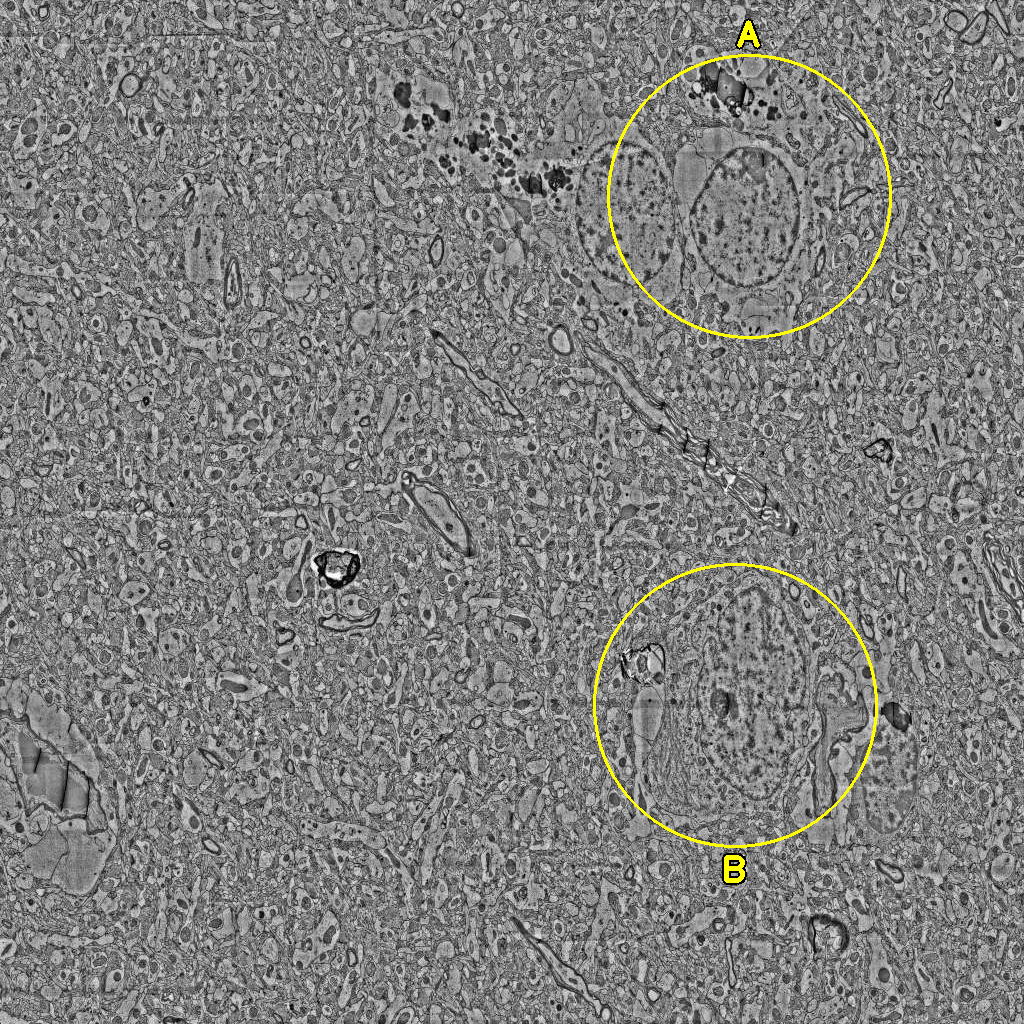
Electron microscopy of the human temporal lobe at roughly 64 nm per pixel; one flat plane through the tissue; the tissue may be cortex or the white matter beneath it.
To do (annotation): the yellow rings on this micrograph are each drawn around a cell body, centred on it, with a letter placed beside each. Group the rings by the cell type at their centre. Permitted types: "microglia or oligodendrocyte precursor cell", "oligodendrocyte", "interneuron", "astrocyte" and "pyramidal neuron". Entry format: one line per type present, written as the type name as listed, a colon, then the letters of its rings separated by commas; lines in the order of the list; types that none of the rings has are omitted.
interneuron: B
astrocyte: A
